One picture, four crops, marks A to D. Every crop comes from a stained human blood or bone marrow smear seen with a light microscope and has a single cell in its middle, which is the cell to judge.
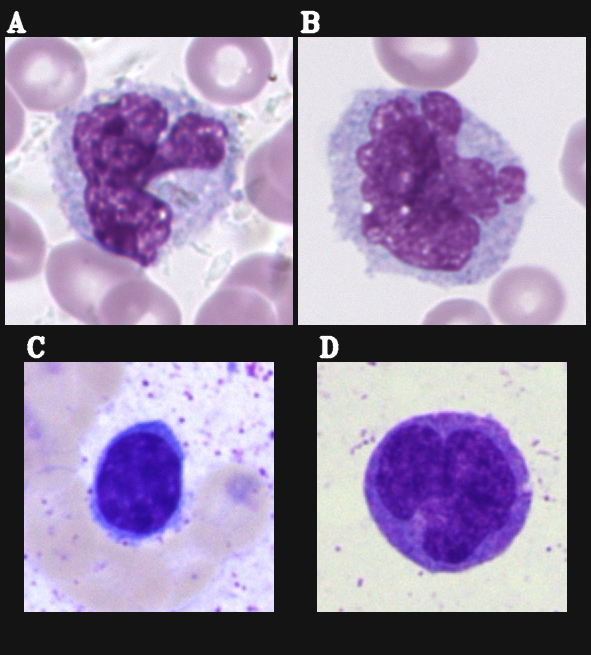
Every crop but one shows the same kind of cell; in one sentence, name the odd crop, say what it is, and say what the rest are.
The central cell of crop C is a lymphocyte, while the other crops show monocytes.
